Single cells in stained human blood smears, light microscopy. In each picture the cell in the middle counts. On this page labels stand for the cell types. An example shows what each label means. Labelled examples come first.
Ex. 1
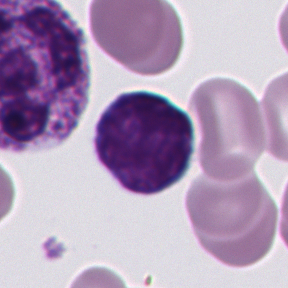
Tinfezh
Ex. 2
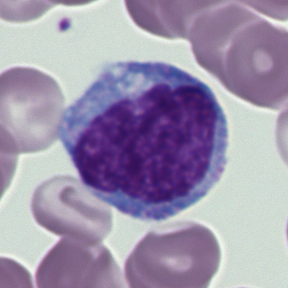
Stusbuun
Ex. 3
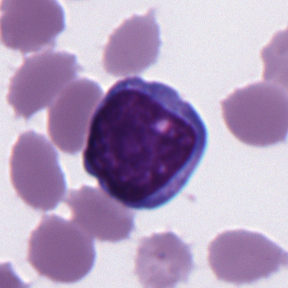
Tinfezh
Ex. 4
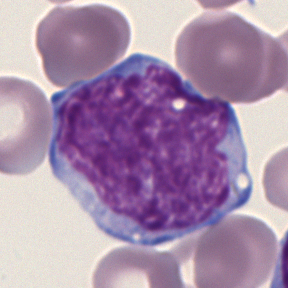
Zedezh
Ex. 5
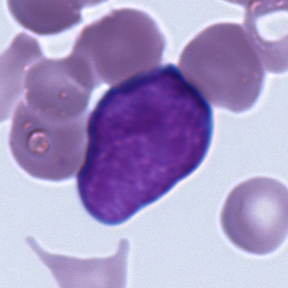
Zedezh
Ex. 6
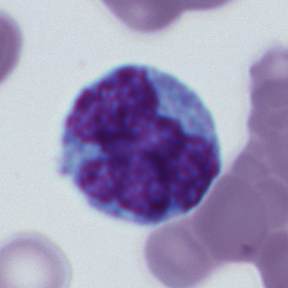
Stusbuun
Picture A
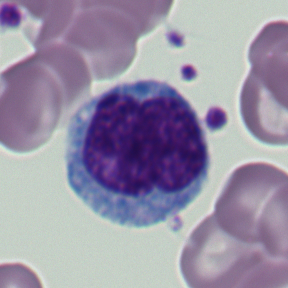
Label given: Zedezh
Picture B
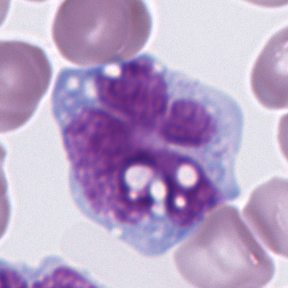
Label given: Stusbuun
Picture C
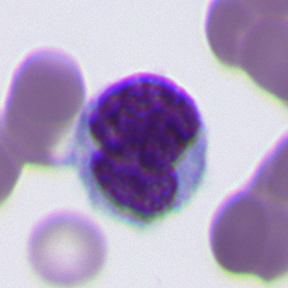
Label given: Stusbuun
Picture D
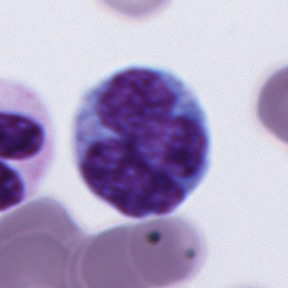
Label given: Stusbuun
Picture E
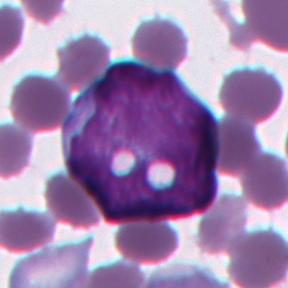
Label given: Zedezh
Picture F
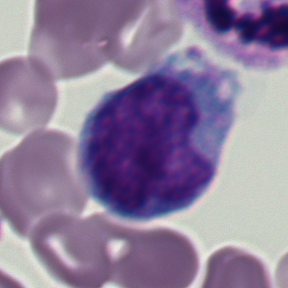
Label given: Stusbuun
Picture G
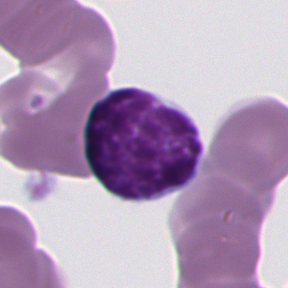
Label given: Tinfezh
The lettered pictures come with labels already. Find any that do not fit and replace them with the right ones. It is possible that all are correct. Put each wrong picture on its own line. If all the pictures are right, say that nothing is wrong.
A should be Stusbuun, not Zedezh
